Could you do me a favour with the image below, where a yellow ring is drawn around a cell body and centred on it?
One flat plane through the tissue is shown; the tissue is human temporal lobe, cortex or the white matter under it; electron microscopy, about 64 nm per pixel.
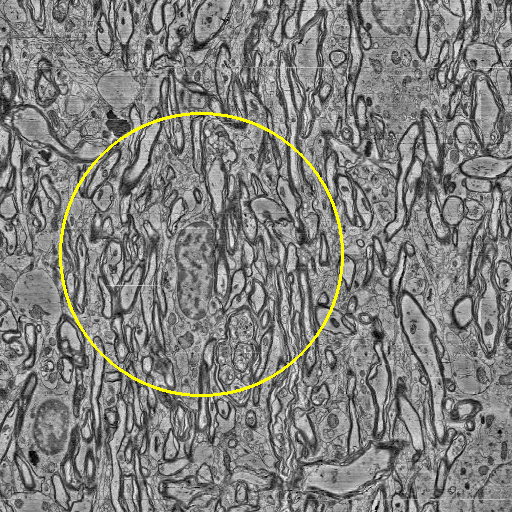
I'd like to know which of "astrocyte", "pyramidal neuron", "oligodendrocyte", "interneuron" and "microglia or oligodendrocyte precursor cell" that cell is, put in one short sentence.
The cell at the ring's centre is a microglial cell or oligodendrocyte precursor cell.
